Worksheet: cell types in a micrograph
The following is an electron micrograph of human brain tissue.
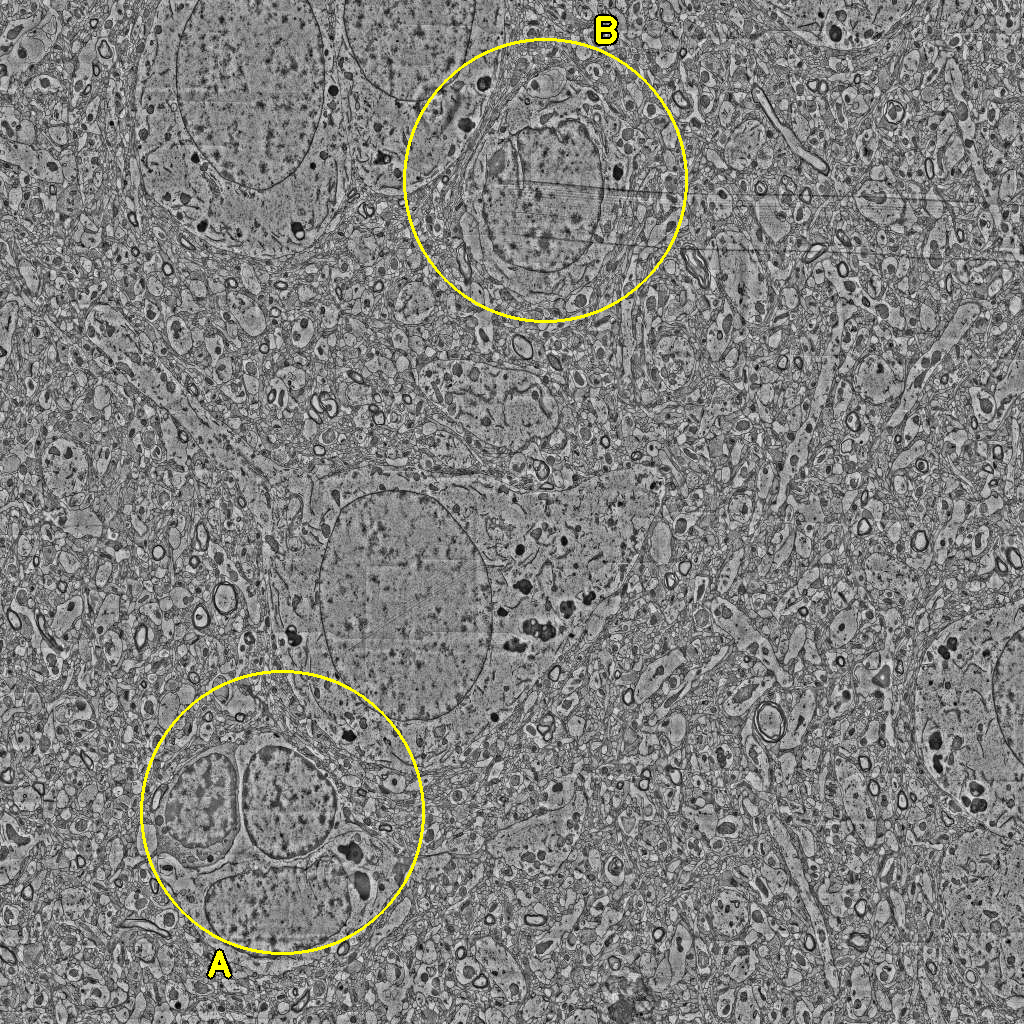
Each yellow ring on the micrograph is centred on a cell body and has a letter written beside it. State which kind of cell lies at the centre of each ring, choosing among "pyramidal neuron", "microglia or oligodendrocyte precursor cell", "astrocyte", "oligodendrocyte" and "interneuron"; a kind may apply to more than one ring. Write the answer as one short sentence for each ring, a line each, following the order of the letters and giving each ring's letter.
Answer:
Ring A has a microglial cell or oligodendrocyte precursor cell in its centre.
Ring B has an interneuron in its centre.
